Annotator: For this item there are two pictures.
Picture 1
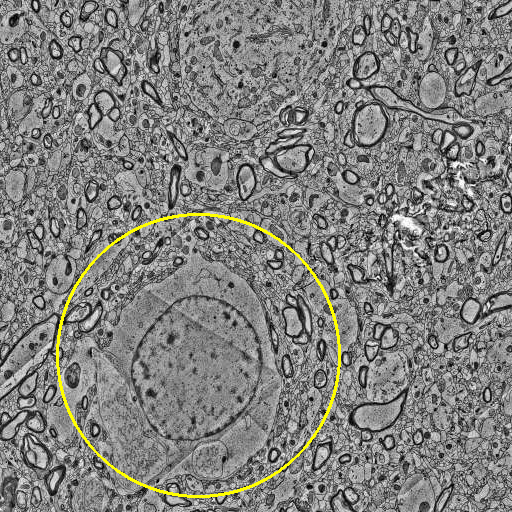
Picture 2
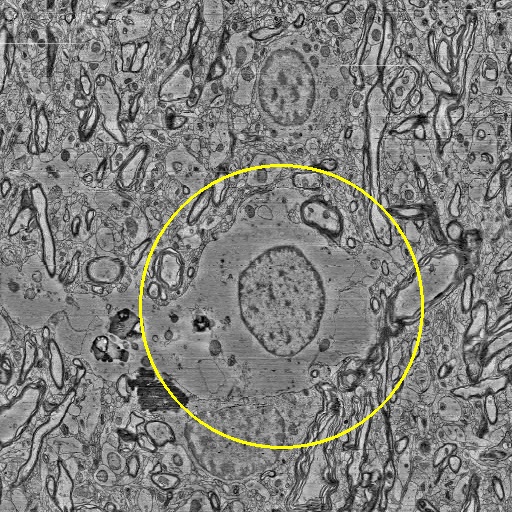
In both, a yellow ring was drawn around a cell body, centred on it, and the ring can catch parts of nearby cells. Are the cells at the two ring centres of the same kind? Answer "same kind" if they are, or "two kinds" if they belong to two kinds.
same kind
